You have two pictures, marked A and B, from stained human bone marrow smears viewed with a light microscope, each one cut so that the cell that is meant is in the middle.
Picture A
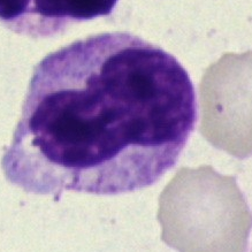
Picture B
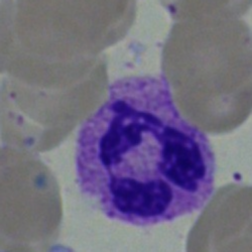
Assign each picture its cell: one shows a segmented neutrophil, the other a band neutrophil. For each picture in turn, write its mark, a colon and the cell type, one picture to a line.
A: band neutrophil
B: segmented neutrophil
